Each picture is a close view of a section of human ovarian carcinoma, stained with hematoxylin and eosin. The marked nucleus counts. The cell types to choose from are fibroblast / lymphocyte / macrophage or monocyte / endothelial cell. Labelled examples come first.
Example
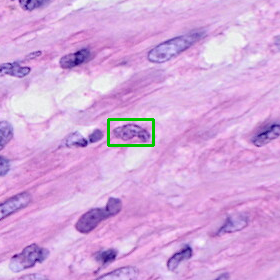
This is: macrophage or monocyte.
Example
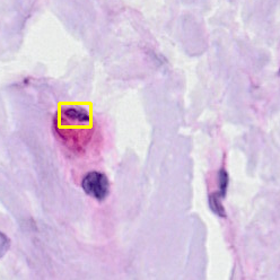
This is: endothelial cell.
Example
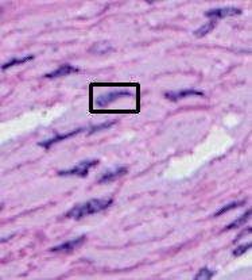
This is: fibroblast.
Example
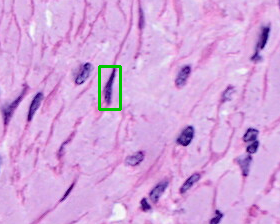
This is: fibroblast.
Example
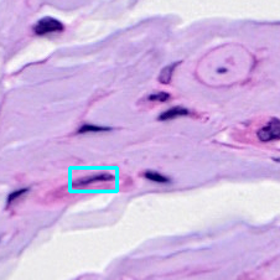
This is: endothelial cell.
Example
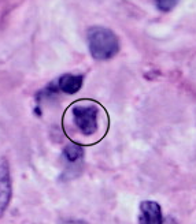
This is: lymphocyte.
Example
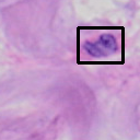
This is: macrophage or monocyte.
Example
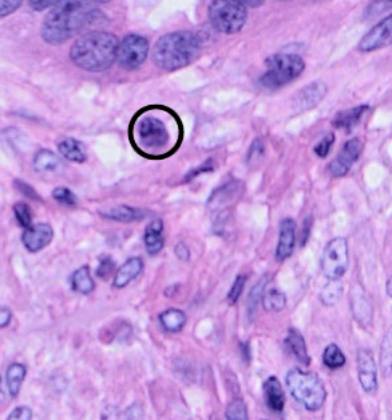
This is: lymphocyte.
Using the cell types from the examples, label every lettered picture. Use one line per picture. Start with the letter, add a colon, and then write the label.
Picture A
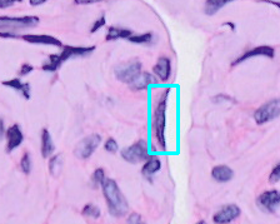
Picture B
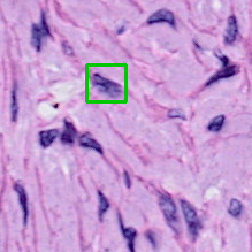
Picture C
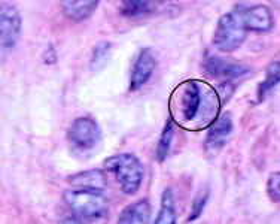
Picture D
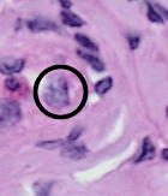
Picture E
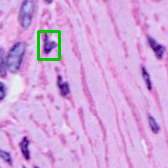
A: endothelial cell.
B: fibroblast.
C: lymphocyte.
D: endothelial cell.
E: fibroblast.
